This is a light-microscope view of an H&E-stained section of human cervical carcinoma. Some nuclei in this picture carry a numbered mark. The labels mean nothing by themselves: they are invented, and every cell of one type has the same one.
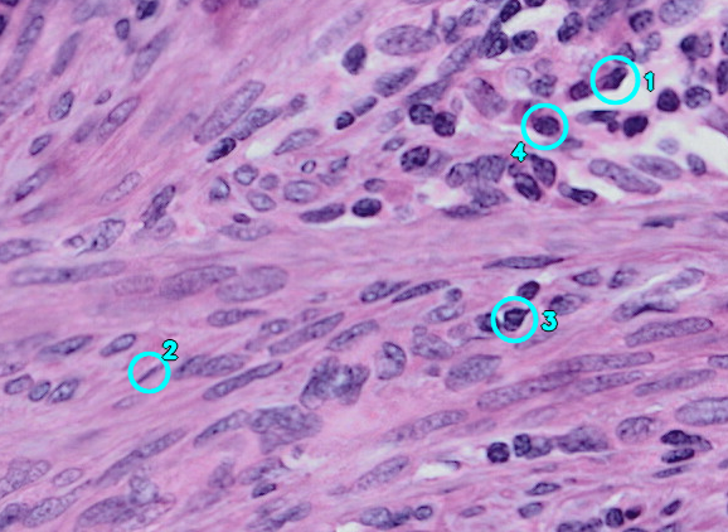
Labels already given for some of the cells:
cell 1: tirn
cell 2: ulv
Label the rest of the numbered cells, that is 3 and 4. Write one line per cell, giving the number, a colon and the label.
3: tirn
4: tirn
